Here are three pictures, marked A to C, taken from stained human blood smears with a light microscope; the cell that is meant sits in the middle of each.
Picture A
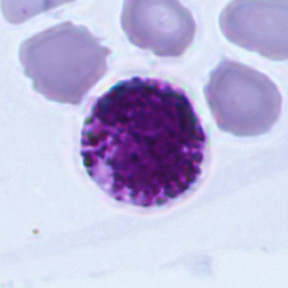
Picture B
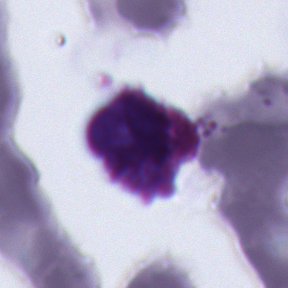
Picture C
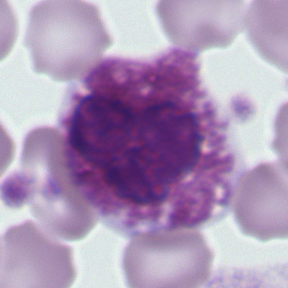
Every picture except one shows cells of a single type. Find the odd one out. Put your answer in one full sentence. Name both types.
The different one is picture A; it shows a basophil, whereas all the others show eosinophils.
